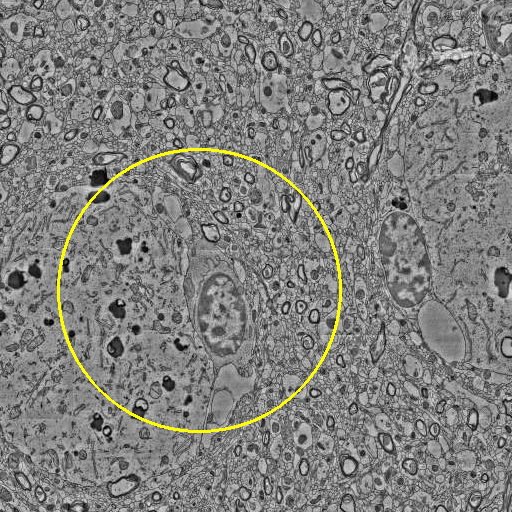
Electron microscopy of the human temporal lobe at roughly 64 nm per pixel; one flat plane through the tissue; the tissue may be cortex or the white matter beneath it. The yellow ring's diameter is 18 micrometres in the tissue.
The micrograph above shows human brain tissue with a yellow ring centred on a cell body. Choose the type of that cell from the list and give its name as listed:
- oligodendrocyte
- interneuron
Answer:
oligodendrocyte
